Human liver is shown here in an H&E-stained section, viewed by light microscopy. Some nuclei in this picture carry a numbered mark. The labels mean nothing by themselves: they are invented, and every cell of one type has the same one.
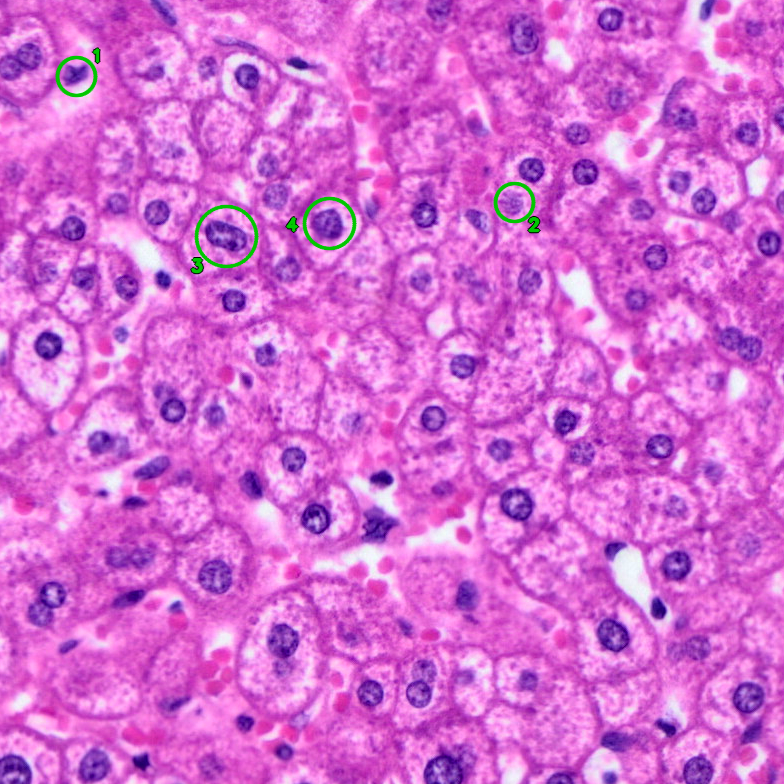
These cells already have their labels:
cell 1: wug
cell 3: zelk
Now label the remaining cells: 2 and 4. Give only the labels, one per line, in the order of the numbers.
zelk
zelk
